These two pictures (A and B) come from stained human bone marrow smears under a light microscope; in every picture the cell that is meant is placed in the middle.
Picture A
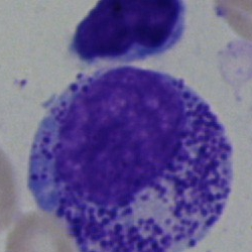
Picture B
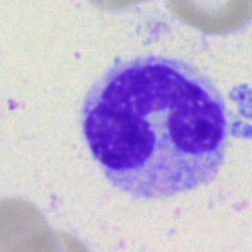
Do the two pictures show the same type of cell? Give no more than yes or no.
no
